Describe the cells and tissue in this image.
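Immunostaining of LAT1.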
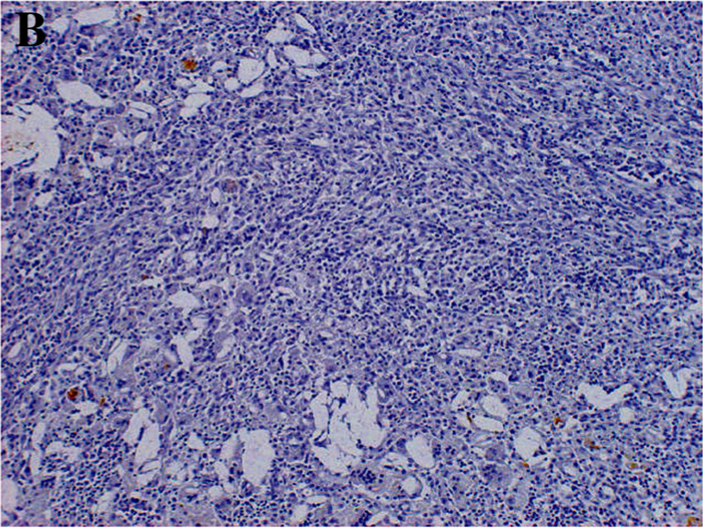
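This is densely inflamed tissue, filled with sheets of cells that have small, dark blue nuclei. Some areas have more elongated, spindle-shaped cells in streaming bundles. Numerous empty, angular, cleft-like spaces are scattered through the infiltrate, especially toward the lower and left parts. Almost no brown stain is present, apart from a few tiny brown specks.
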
